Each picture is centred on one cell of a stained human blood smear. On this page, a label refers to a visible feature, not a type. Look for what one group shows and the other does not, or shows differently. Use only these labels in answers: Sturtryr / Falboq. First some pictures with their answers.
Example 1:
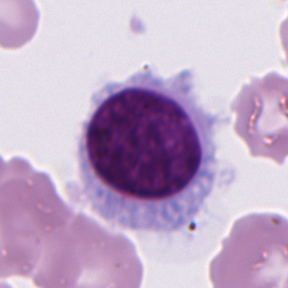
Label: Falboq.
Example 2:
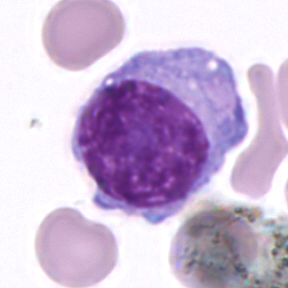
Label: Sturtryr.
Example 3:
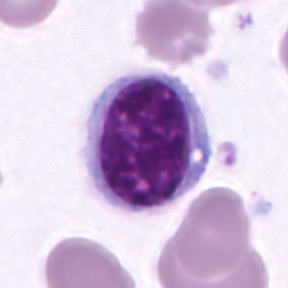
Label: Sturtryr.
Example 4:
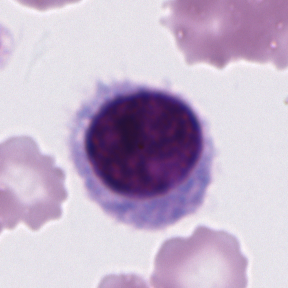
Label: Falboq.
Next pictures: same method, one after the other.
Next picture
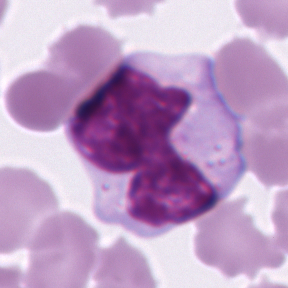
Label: Sturtryr.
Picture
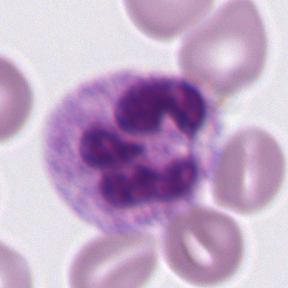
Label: Falboq.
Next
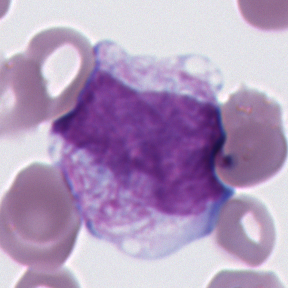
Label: Sturtryr.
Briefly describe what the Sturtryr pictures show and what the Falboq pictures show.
Sturtryr: vacuoles present; Falboq: no vacuoles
